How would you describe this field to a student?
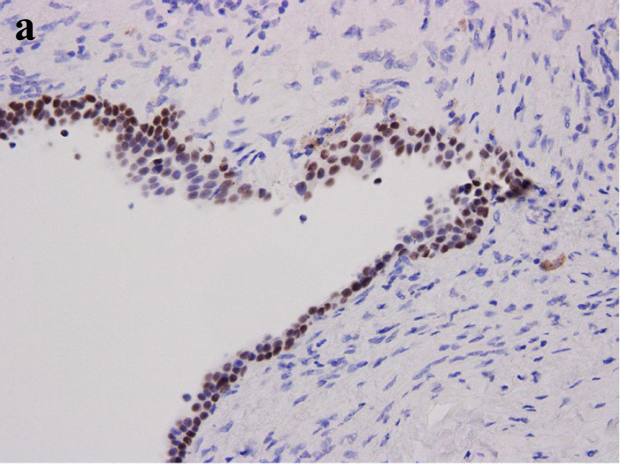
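Cyst wall lined by a layer, one to several cells thick, of small epithelial cells with round nuclei stained dark brown, bordering a large empty lumen. Beneath the lining lies loose stroma of spindle-shaped cells with elongated blue, unstained nuclei.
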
